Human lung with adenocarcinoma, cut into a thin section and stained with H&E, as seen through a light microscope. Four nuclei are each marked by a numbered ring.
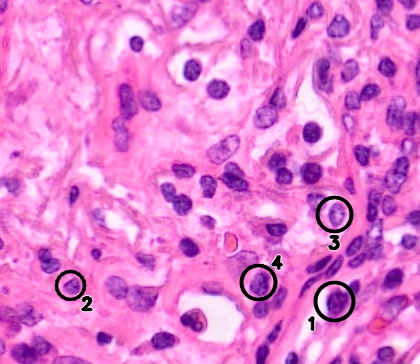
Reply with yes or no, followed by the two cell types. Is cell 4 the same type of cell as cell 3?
Yes, the numbered cells 4 and 3 are both lymphocytes.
